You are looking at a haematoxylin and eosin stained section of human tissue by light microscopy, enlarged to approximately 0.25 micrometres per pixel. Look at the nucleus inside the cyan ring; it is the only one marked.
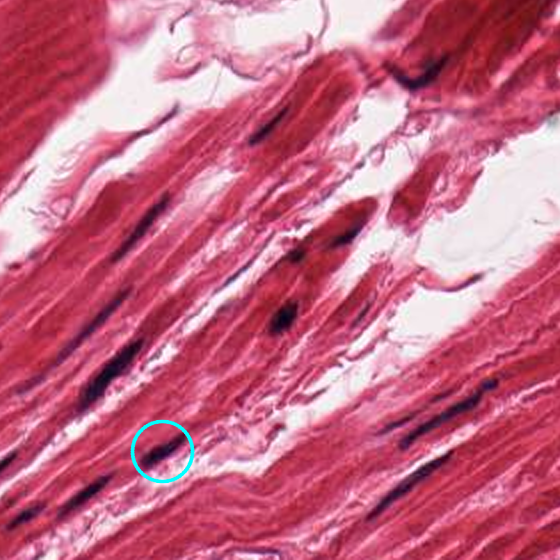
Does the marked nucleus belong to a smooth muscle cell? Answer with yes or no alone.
yes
